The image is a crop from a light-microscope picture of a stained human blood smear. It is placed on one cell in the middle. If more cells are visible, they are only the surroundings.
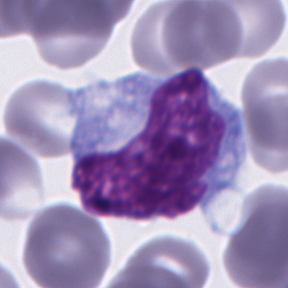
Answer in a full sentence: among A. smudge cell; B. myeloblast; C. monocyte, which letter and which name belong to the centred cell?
That the central cell is a monocyte makes option C correct.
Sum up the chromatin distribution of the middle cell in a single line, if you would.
What stands out is fine chromatin lacking any coarse clumps.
